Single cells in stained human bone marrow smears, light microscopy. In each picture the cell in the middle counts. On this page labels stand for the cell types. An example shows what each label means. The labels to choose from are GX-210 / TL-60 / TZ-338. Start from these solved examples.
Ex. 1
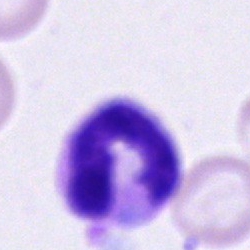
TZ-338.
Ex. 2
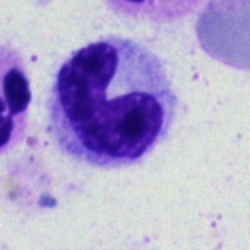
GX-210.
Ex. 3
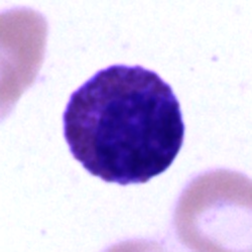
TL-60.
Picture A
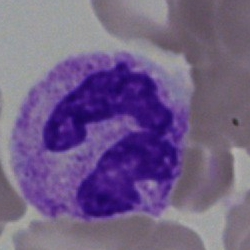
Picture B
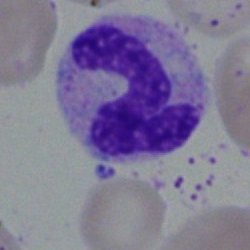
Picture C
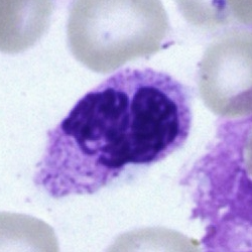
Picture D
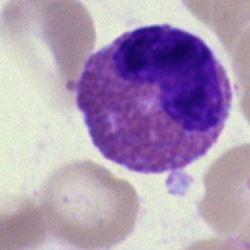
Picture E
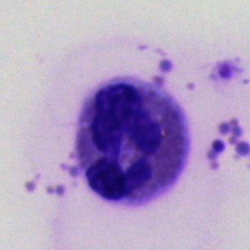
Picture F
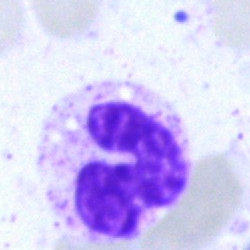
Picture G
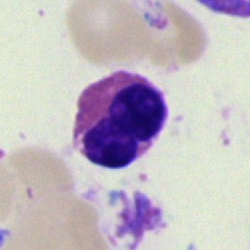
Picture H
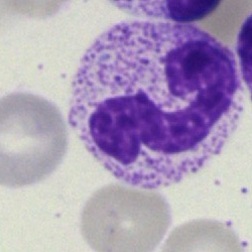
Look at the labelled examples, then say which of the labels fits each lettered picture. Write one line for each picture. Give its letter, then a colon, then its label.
A: TZ-338.
B: GX-210.
C: TZ-338.
D: TL-60.
E: TL-60.
F: GX-210.
G: TL-60.
H: TZ-338.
